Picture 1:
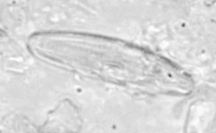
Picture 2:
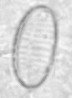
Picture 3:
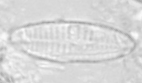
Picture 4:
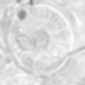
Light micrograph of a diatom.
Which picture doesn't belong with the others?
Picture 4.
